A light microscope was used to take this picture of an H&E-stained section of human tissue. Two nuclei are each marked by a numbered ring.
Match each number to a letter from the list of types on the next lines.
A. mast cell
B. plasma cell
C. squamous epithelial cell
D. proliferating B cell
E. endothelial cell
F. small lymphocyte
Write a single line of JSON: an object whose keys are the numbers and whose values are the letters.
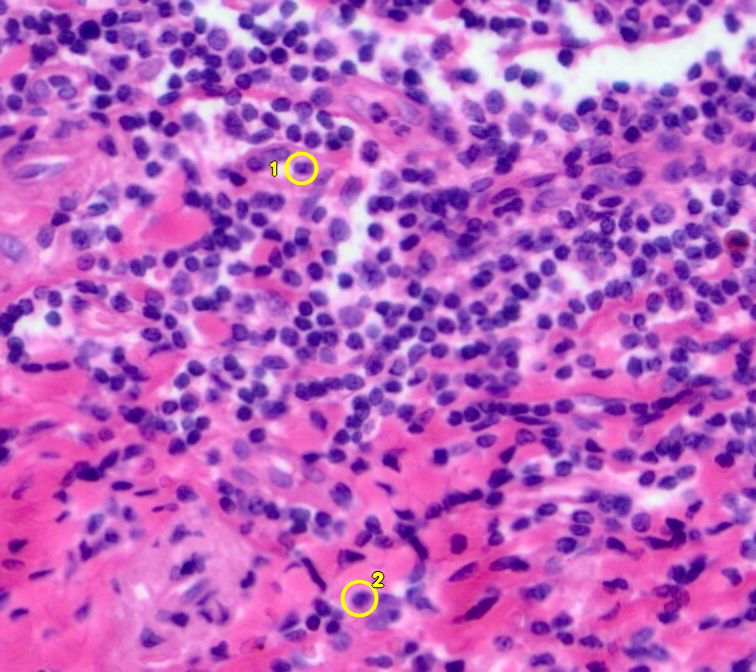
{"1": "E", "2": "A"}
